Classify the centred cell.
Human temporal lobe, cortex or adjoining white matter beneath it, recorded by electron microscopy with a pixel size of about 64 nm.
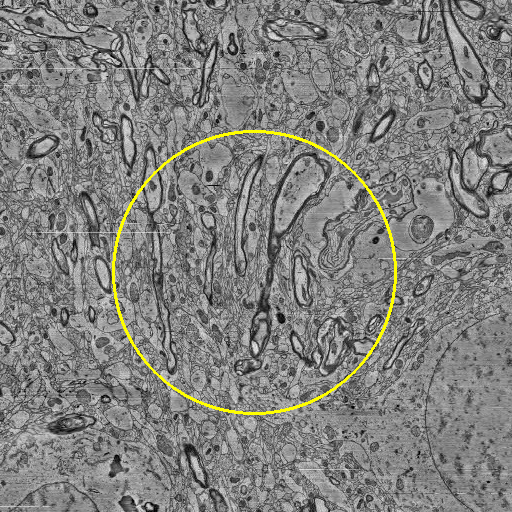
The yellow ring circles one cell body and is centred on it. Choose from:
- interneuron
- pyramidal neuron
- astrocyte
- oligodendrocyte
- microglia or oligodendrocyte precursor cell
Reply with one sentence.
The ring is centred on a microglial cell or oligodendrocyte precursor cell.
